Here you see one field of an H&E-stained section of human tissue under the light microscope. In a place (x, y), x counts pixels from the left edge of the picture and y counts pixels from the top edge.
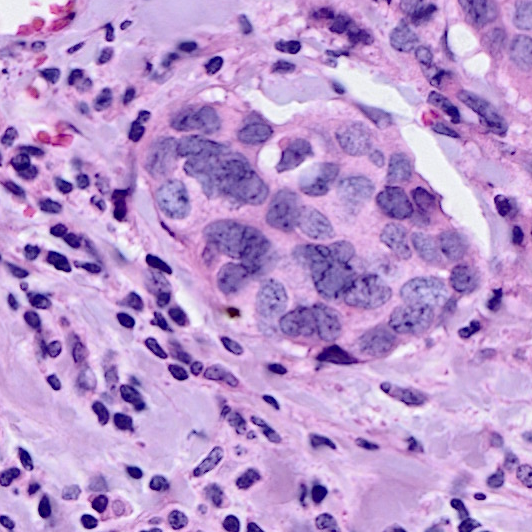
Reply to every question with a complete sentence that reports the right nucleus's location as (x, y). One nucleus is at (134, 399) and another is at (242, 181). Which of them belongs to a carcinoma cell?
Of the pair, the nucleus positioned at (242, 181) is that of a carcinoma cell.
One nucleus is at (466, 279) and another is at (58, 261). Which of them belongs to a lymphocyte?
Of the two, the nucleus at (58, 261) is the one contained in a lymphocyte.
